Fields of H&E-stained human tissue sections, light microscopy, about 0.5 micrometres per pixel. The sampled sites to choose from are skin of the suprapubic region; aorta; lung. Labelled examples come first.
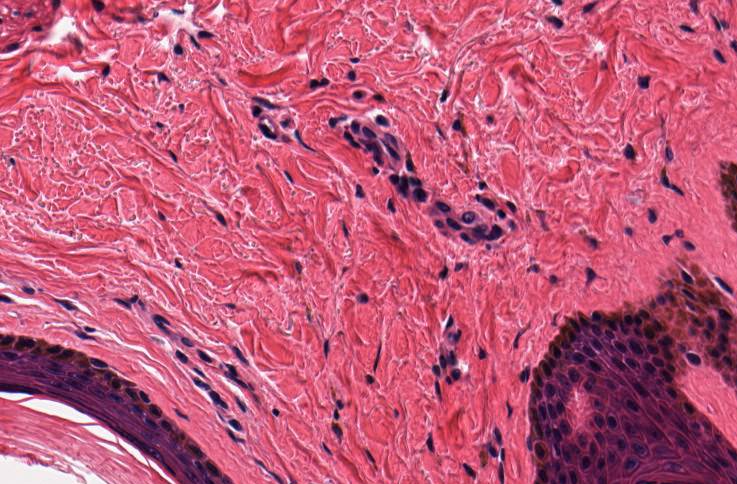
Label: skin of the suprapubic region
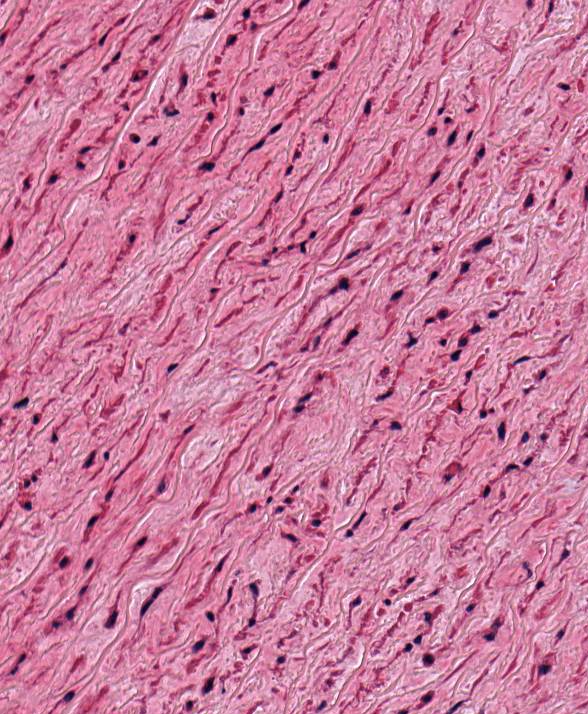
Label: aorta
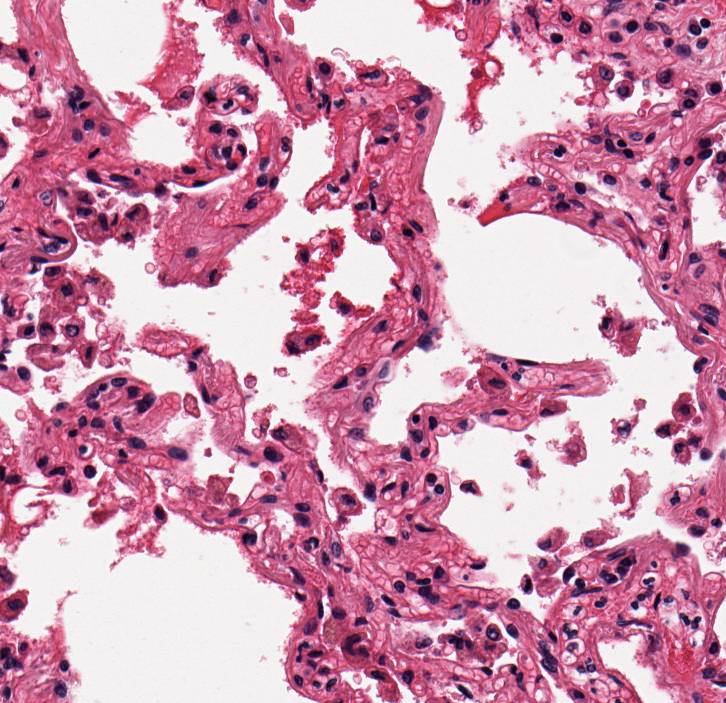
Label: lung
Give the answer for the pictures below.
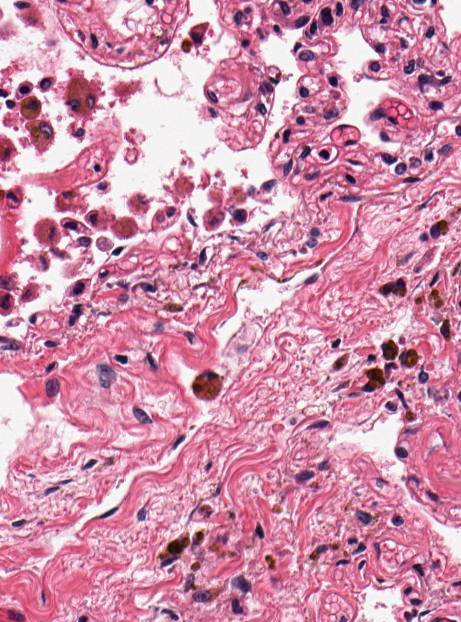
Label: lung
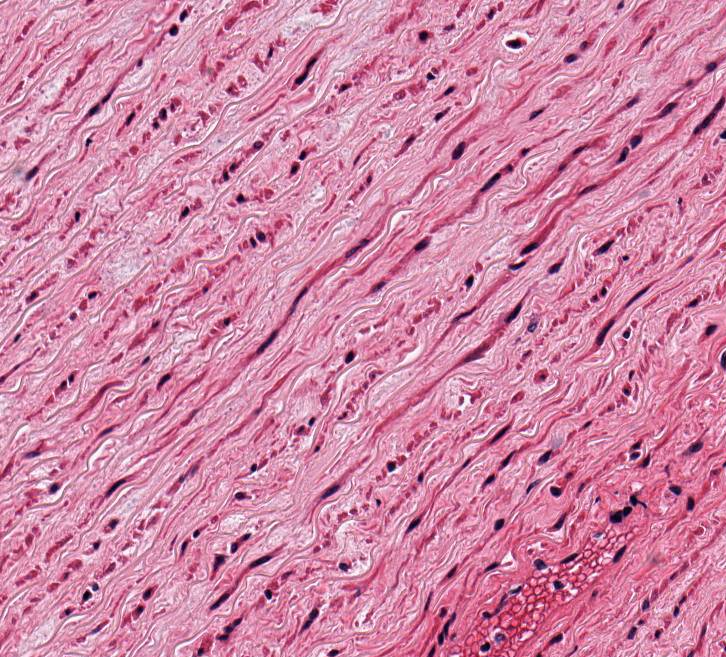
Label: aorta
